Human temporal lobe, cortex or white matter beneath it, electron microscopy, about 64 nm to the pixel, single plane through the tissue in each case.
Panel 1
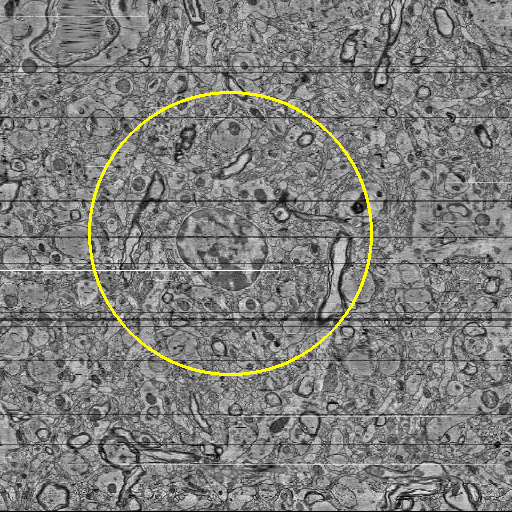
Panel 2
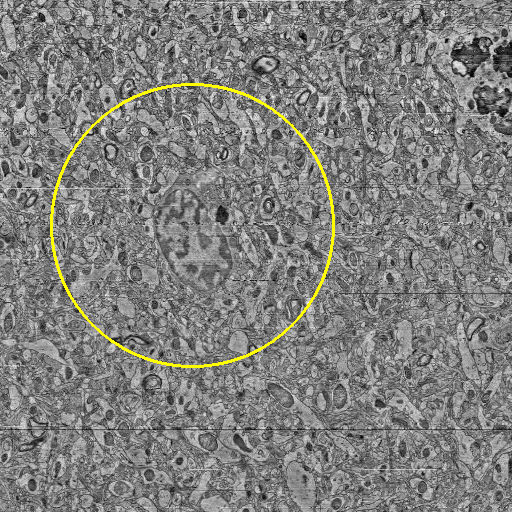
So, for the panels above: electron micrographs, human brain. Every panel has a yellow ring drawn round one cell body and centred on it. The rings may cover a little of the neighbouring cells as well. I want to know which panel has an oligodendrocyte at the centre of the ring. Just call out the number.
2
